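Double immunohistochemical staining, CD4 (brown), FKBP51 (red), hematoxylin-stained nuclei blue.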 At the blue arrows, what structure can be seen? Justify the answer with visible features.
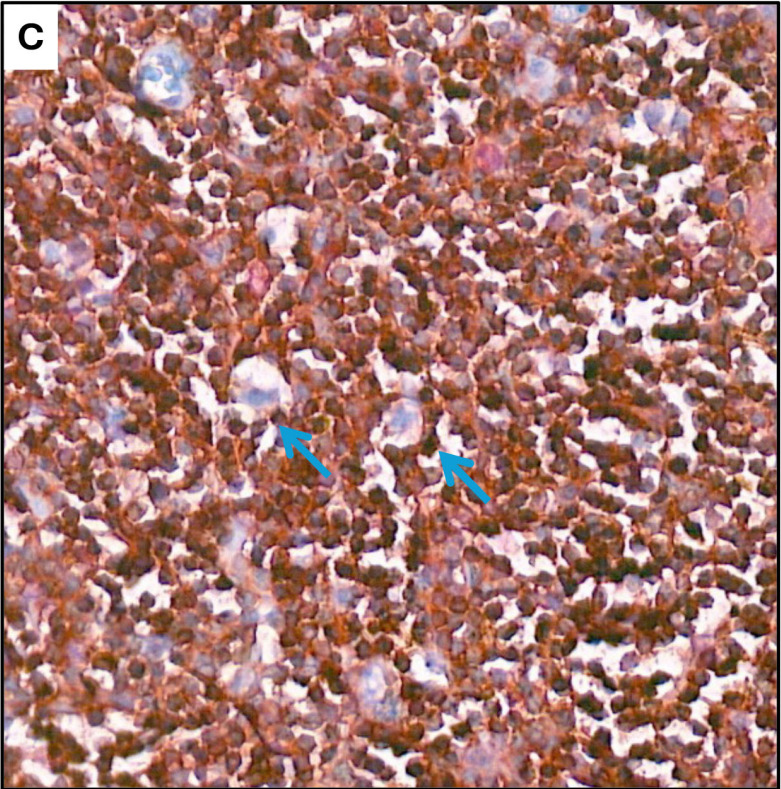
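T-lymphocytes rosettes. The arrows point to large cells with pale cytoplasm and bluish nuclei. The small surrounding cells are stained brown to red.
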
